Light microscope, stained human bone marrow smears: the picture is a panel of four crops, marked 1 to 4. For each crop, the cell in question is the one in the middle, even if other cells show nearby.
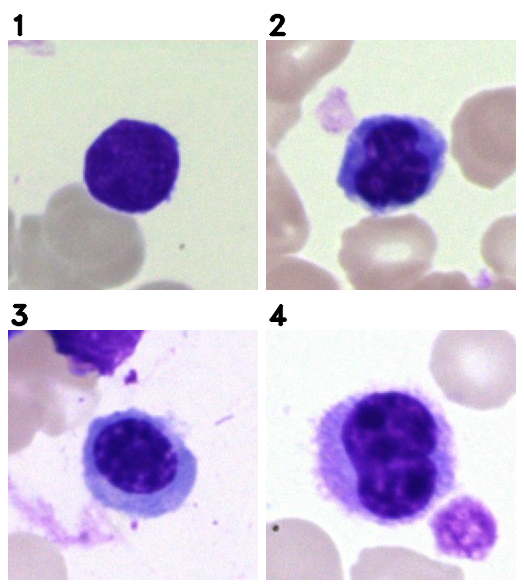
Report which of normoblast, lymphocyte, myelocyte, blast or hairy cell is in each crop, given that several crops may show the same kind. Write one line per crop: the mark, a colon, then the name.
1: lymphocyte
2: normoblast
3: normoblast
4: hairy cell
